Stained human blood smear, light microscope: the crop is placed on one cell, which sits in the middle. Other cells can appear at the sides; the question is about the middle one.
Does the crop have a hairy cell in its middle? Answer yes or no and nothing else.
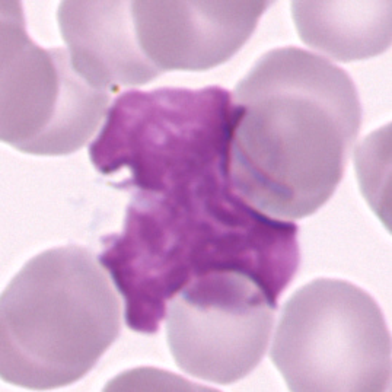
no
